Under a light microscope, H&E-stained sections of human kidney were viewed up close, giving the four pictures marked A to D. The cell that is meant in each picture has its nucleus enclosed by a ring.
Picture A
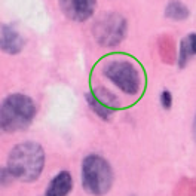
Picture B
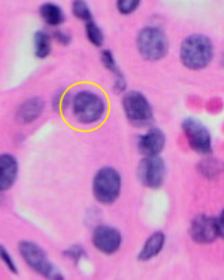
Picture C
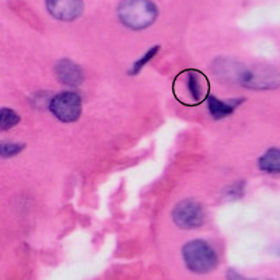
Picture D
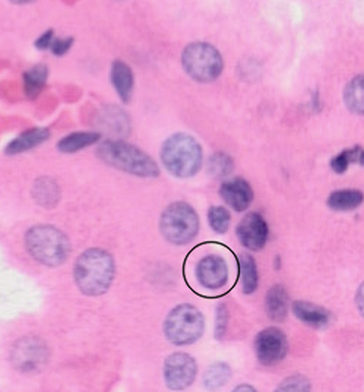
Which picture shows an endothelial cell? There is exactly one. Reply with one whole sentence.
The endothelial cell is the one in picture C.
